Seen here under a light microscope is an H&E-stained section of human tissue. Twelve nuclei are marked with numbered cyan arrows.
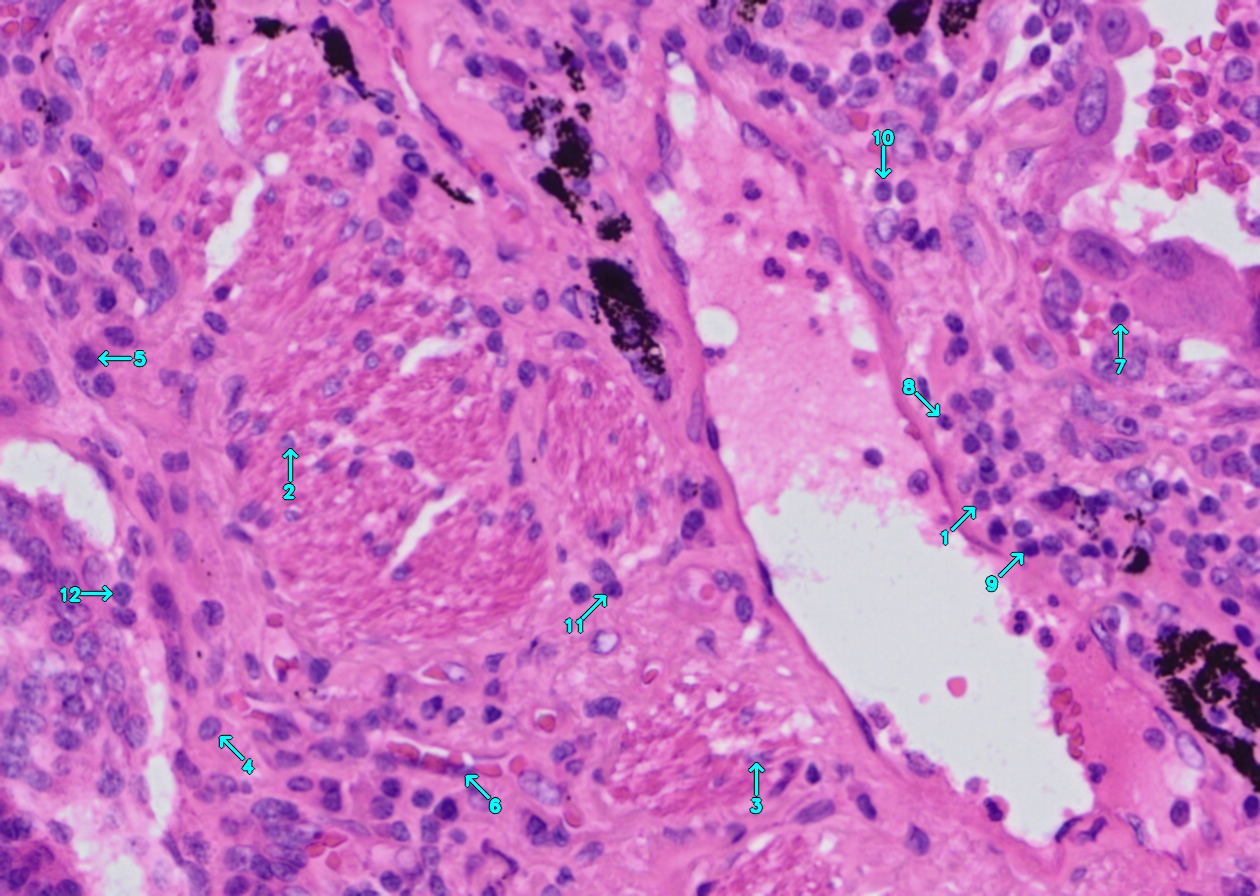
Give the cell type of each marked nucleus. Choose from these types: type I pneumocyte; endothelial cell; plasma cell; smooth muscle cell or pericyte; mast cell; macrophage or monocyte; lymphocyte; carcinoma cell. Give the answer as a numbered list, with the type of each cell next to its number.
1. lymphocyte
2. smooth muscle cell or pericyte
3. smooth muscle cell or pericyte
4. mast cell
5. plasma cell
6. endothelial cell
7. lymphocyte
8. lymphocyte
9. lymphocyte
10. lymphocyte
11. lymphocyte
12. lymphocyte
